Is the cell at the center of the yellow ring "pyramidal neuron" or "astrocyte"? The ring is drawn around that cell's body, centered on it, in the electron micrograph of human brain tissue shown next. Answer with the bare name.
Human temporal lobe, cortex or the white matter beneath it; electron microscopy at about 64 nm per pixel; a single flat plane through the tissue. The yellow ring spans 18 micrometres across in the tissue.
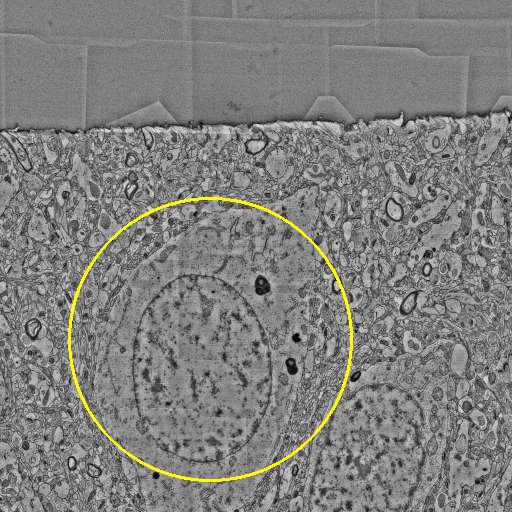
pyramidal neuron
